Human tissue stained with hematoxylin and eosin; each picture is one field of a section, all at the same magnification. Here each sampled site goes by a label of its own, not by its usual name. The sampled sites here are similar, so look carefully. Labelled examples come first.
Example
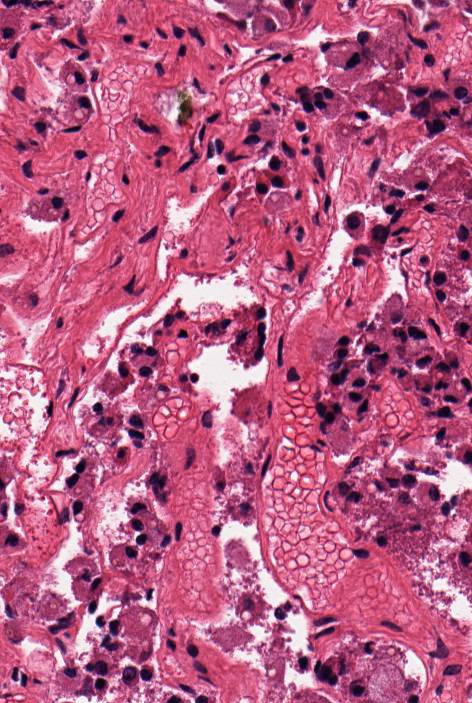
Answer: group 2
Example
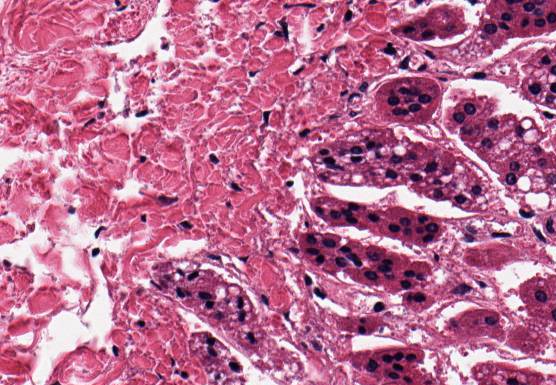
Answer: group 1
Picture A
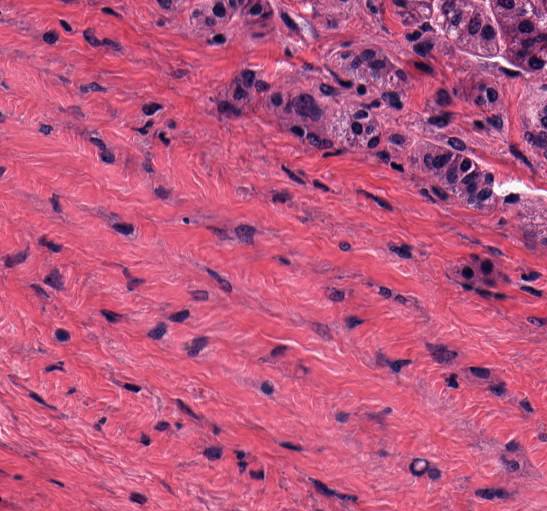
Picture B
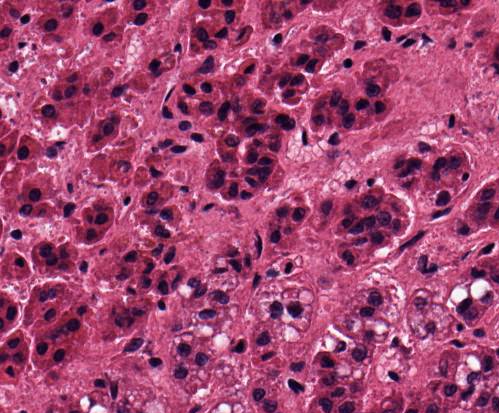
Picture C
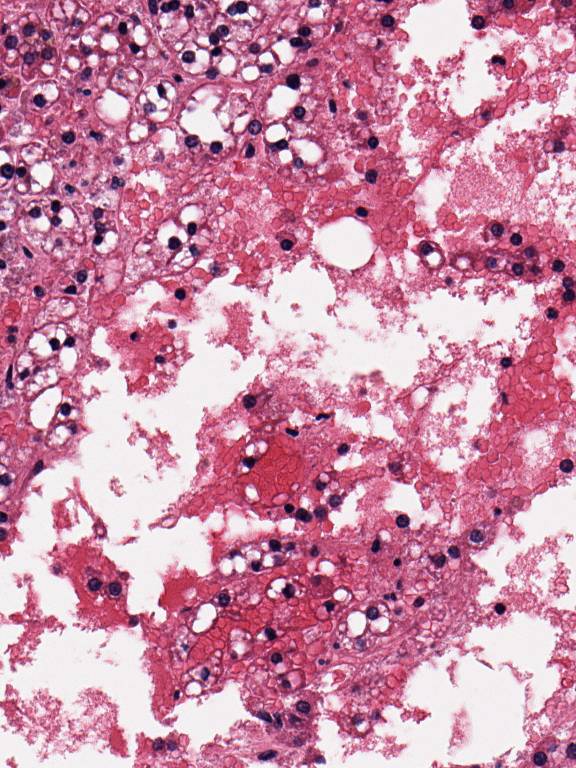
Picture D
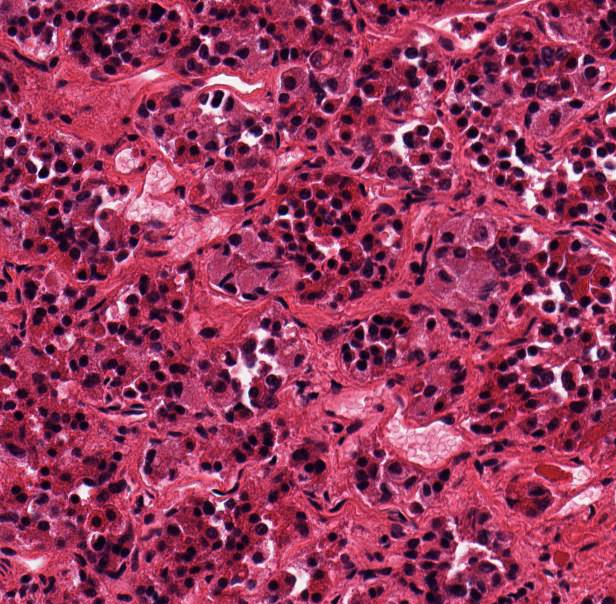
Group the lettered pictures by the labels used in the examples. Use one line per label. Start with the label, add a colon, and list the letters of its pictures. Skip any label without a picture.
group 2: D
group 1: A, B, C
